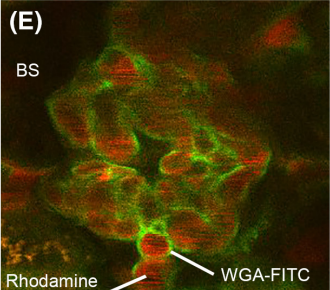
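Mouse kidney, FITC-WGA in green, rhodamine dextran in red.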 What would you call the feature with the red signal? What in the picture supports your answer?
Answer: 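Red fills rounded and tubular loop-shaped profiles within a tuft. The red areas are bounded by green rims. That points to this answer: vasculature.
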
